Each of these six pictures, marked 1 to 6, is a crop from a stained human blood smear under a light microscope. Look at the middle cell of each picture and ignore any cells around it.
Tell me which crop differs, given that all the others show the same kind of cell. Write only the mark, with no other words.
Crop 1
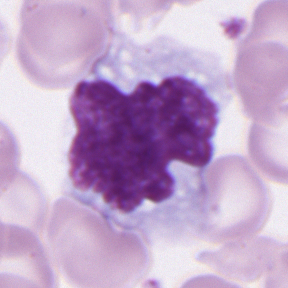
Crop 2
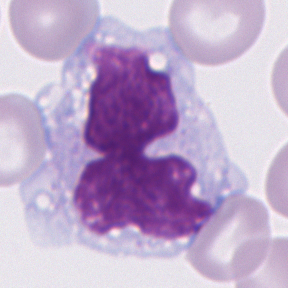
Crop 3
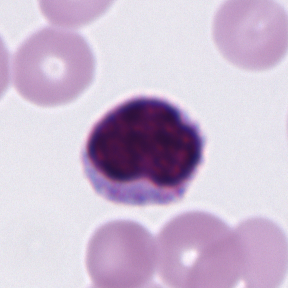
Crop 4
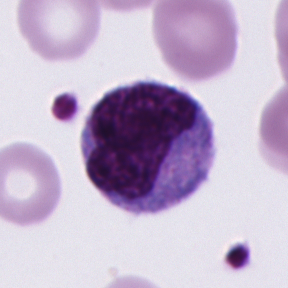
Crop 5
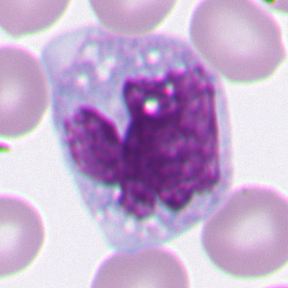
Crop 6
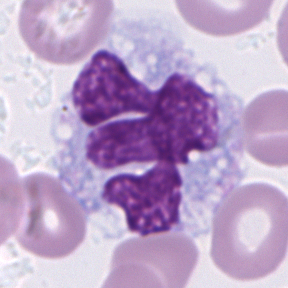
3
